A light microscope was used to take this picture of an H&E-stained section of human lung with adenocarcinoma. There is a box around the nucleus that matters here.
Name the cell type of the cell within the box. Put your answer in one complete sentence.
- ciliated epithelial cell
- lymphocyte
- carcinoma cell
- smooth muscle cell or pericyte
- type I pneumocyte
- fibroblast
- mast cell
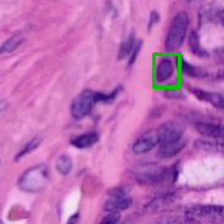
Among the cells in this section, the cell within the box is a ciliated epithelial cell.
